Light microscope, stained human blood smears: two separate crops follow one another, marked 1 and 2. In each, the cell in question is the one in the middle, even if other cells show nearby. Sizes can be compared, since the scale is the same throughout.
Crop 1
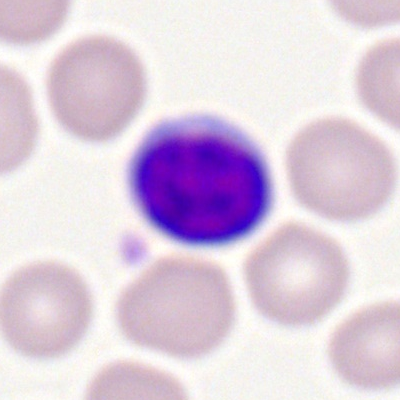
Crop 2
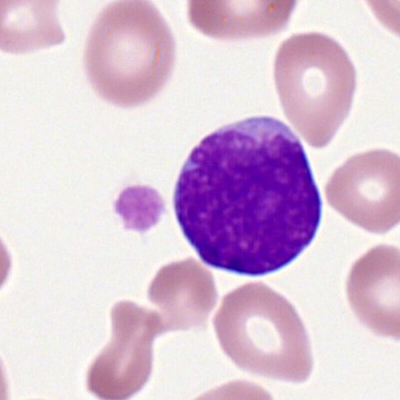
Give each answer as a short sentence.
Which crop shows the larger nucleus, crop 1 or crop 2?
Larger is the nucleus in crop 2, at roughly 1.5 times the area of the other.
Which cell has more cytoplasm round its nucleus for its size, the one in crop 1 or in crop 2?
The nucleus fills less of the cell in crop 1 than in crop 2.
